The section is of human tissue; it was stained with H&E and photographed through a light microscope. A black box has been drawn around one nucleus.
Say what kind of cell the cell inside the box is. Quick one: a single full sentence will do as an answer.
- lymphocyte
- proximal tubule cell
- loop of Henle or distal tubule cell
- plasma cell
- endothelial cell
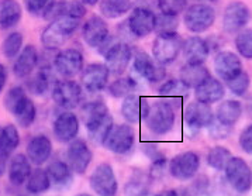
Students should answer that the cell inside the box is a lymphocyte.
